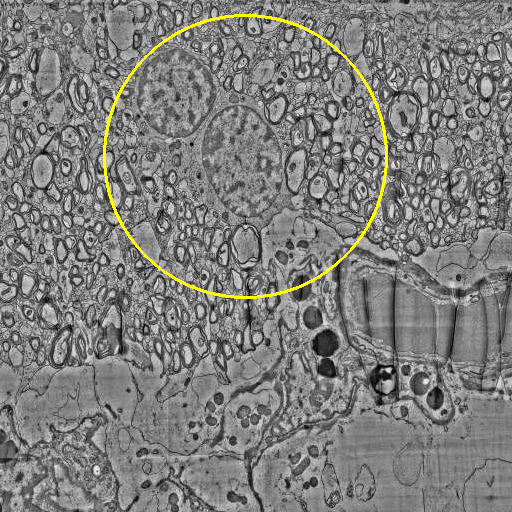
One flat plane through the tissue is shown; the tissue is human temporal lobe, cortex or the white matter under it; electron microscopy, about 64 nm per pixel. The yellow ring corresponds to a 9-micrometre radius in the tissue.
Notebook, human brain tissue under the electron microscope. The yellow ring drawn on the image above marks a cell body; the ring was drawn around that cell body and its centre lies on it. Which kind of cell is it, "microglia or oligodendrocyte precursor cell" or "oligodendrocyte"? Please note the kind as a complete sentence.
The marked cell body is that of an oligodendrocyte.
